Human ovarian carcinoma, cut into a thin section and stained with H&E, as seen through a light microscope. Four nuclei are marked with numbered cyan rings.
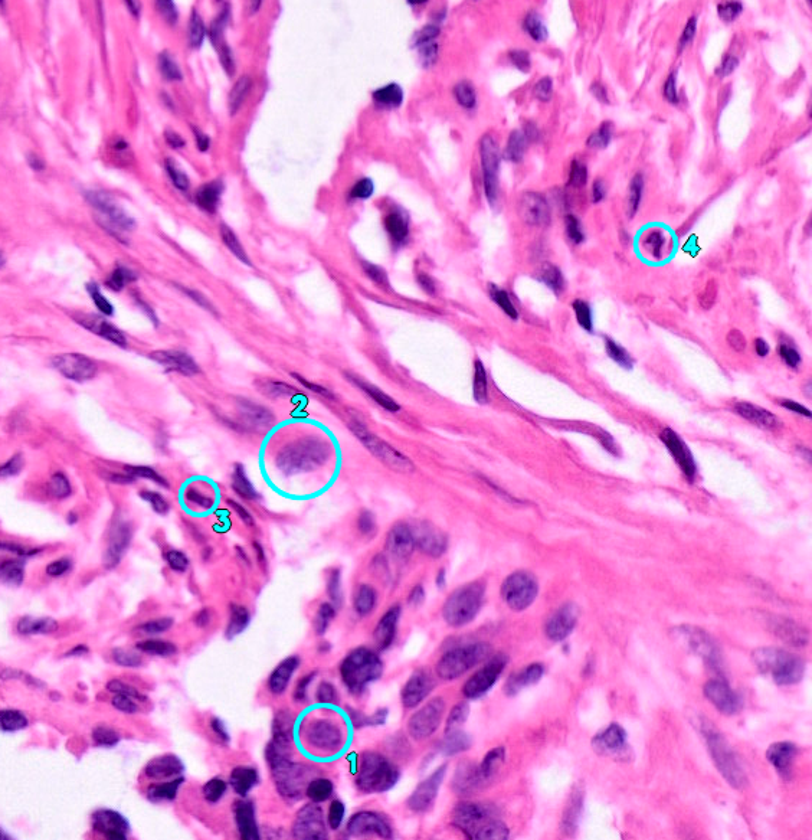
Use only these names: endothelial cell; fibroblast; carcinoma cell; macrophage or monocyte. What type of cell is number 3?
fibroblast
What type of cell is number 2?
fibroblast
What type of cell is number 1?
carcinoma cell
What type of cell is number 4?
fibroblast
